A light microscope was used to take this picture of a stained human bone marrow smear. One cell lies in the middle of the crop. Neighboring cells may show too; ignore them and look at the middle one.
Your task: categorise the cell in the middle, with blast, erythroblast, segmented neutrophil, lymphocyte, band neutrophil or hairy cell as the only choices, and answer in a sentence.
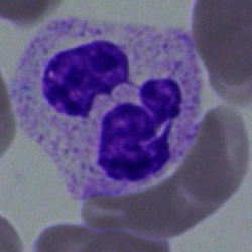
The cell under consideration, at the middle of the crop, is a segmented neutrophil.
